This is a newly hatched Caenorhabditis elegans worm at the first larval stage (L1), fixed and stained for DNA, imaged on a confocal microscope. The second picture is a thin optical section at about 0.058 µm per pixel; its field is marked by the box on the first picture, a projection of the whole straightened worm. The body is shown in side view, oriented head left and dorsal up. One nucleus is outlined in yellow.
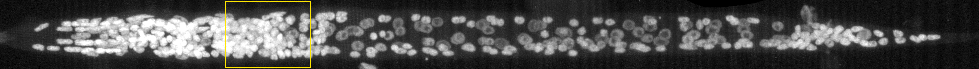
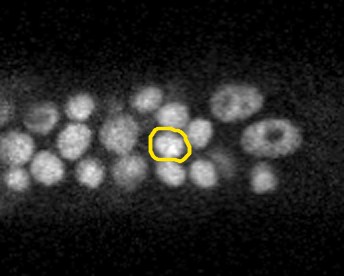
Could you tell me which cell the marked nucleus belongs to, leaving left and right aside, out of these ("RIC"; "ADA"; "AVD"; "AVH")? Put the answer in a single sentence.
The cell whose nucleus is marked is AVD, a neuron.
